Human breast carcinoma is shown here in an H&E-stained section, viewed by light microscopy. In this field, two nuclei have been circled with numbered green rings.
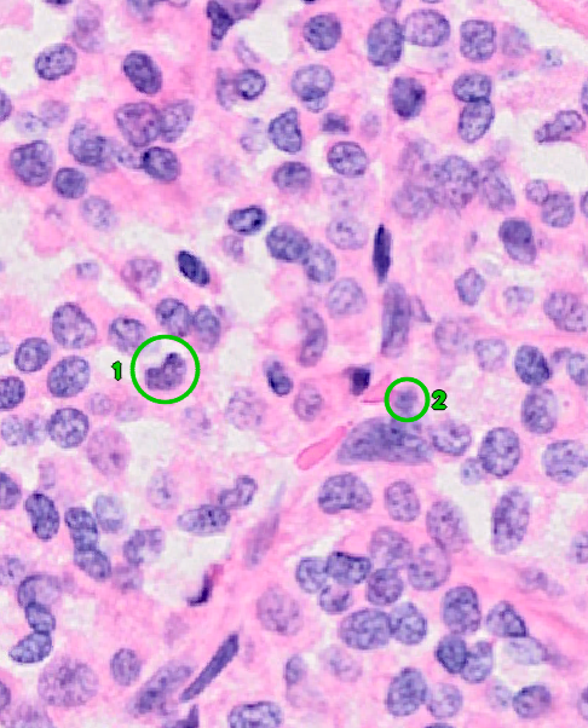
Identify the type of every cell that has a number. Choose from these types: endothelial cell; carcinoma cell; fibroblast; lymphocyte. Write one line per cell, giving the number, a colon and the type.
1: carcinoma cell
2: endothelial cell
